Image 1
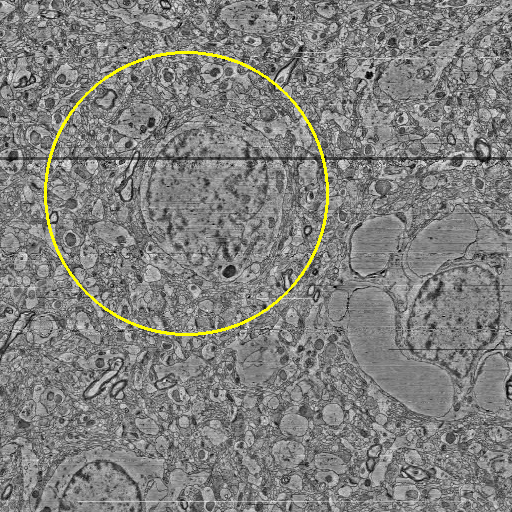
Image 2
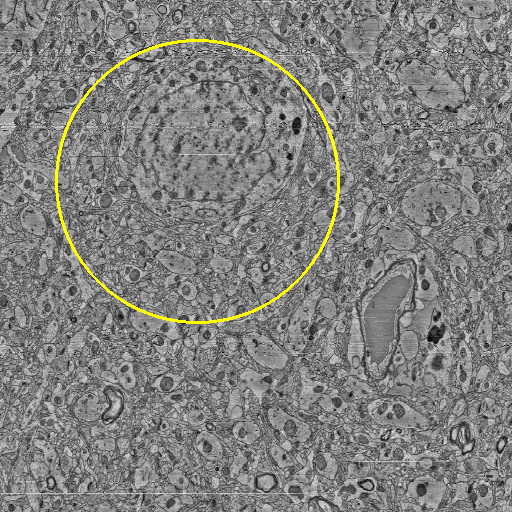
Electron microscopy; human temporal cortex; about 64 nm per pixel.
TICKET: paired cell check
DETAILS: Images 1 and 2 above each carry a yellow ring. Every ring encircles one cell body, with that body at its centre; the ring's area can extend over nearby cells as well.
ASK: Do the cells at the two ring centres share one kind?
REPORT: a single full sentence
Yes, the ring-centre cells of Images 1 and 2 belong to a single kind.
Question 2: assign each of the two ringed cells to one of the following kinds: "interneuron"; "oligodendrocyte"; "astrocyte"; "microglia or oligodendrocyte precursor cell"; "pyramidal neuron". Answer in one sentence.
Each one of the two ringed cells is an interneuron.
